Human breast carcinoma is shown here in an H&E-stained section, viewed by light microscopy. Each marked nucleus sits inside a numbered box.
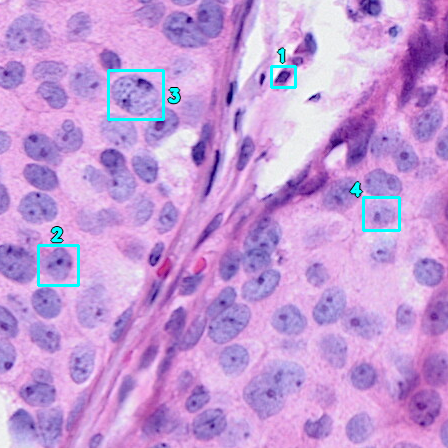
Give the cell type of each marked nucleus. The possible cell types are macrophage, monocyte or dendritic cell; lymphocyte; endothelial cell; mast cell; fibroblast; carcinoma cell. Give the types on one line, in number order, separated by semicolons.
mast cell; carcinoma cell; carcinoma cell; carcinoma cell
